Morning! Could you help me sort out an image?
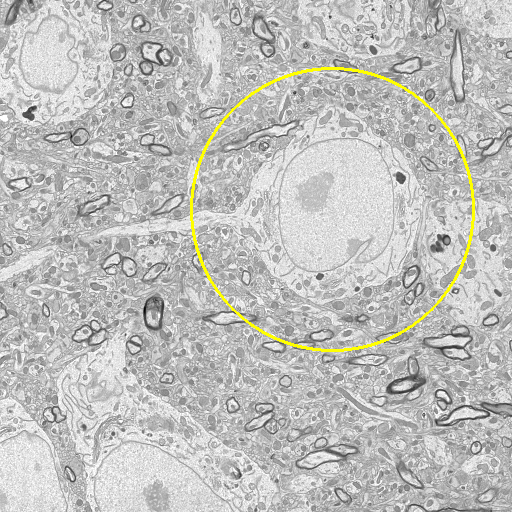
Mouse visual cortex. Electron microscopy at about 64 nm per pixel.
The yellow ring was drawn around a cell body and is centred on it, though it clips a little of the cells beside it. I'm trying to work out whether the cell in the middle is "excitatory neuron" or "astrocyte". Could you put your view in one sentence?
The ringed cell body is that of an excitatory neuron.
